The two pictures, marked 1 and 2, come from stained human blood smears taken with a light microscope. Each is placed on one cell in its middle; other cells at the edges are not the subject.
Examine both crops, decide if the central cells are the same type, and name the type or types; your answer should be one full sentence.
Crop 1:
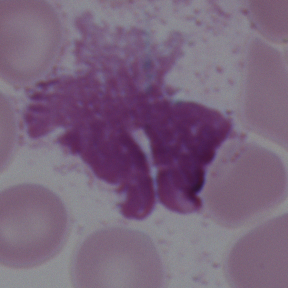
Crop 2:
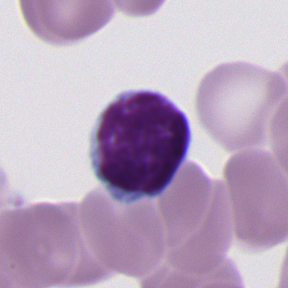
No, on this set crop 1 shows a smudge cell and crop 2 shows a typical lymphocyte.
